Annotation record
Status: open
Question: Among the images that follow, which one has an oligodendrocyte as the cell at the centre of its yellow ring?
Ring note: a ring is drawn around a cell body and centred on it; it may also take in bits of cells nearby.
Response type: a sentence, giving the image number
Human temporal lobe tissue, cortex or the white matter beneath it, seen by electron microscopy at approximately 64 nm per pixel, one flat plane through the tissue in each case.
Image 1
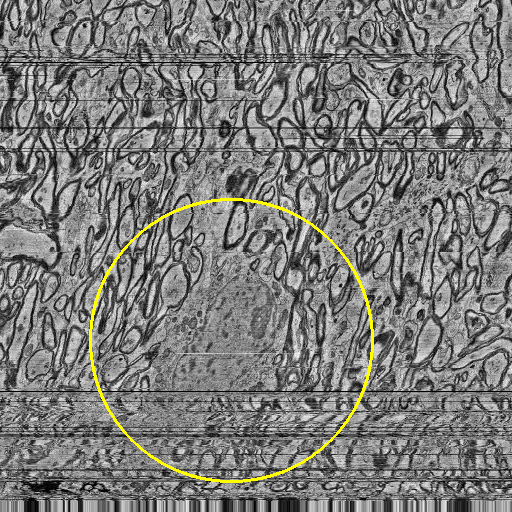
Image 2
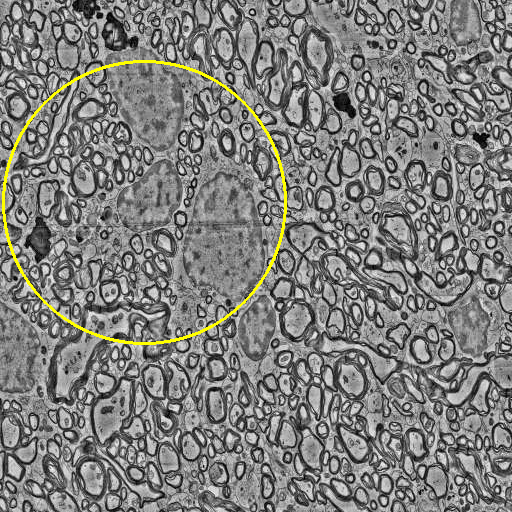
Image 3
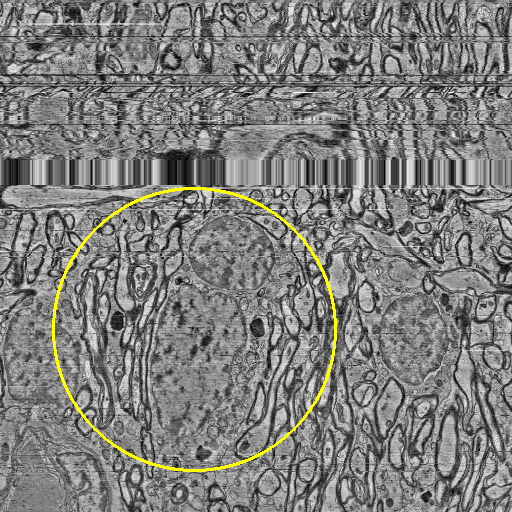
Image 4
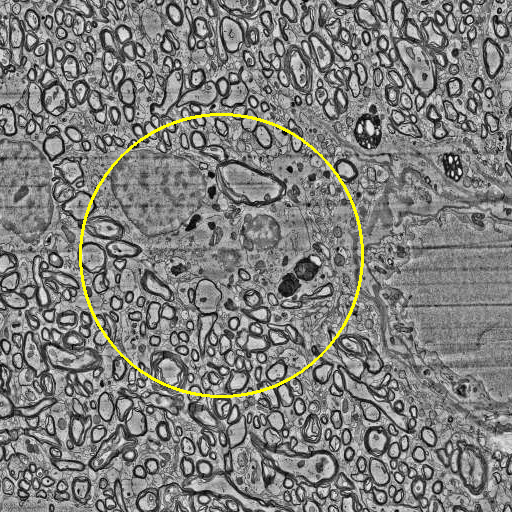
Image 4 shows it at the centre of its ring.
